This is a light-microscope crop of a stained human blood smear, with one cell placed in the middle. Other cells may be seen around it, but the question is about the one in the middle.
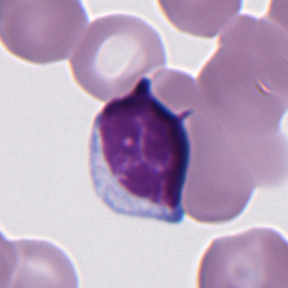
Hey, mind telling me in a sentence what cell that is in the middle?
Seen at the centre of the crop is a lymphocyte.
